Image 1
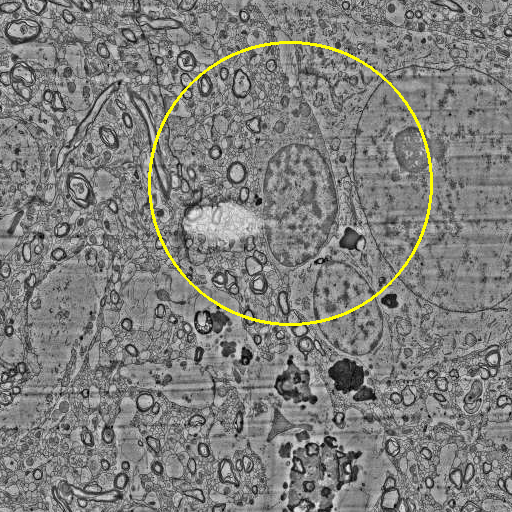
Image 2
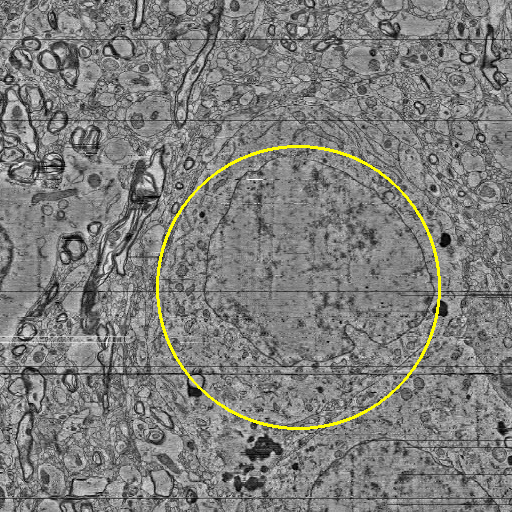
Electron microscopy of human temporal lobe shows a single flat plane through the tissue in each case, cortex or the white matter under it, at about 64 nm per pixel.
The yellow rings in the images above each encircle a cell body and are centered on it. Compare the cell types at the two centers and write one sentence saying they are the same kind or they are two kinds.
Taken together, the two cells at the ring centers are two kinds.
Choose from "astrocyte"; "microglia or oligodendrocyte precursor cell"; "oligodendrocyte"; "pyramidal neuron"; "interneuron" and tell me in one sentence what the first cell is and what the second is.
What the first ring is centred on is an oligodendrocyte; what the second ring is centred on is a pyramidal neuron.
